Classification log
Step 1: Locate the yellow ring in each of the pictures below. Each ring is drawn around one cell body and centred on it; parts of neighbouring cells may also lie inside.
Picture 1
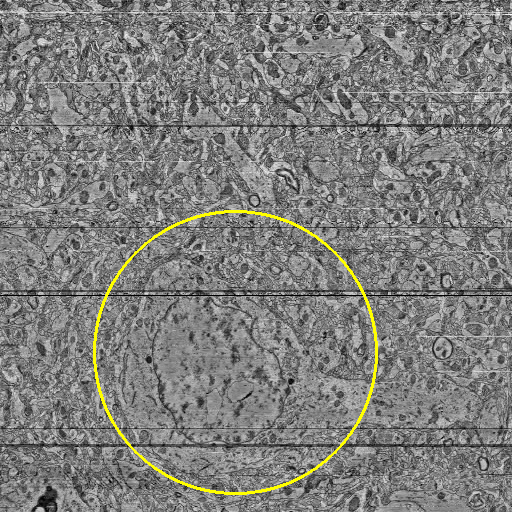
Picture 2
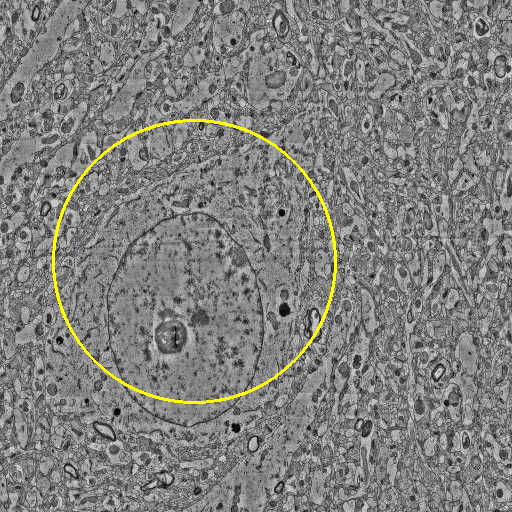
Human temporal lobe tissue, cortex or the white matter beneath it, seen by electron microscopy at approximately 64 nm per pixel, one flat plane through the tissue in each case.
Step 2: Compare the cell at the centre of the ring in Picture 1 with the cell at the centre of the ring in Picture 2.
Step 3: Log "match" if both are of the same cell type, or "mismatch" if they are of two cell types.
match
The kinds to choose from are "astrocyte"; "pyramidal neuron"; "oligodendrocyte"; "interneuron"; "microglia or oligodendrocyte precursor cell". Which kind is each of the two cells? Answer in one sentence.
The cell in the first picture is a pyramidal neuron, and so is the one in the second.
